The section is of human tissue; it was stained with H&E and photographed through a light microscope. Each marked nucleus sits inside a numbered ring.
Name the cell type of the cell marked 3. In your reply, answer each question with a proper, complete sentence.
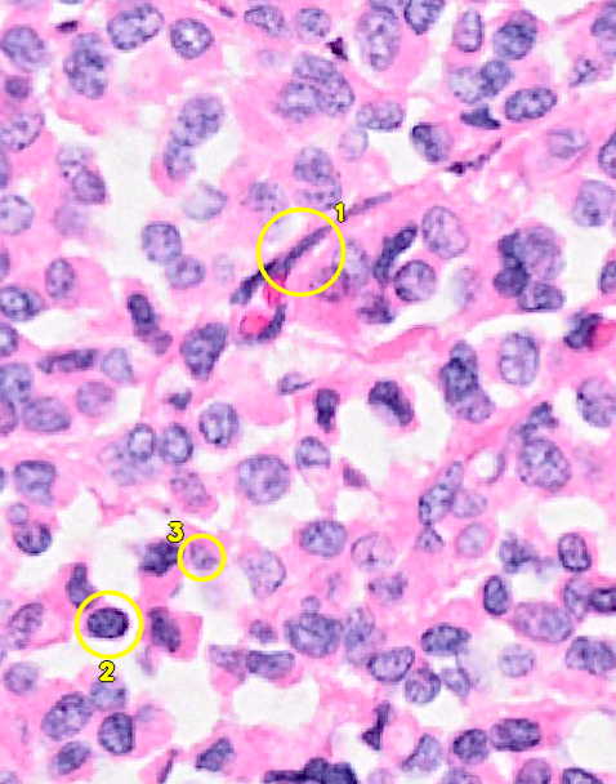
The cell assigned the number 3 is a carcinoma cell.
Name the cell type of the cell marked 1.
The cell carrying label 1 is identified as an endothelial cell.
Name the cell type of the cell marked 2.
The cell bearing label 2 corresponds to a carcinoma cell.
